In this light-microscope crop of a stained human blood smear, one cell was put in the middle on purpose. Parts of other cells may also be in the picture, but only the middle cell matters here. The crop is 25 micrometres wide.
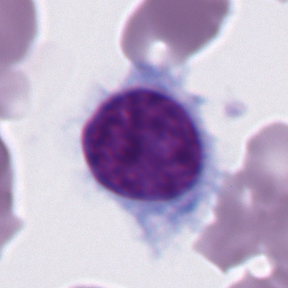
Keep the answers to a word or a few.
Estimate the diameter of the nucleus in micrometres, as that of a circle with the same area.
10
